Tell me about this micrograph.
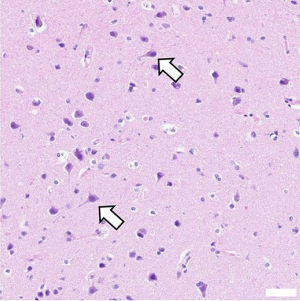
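This is cortical gray matter with scattered neuronal cells lying in a pale pink, finely fibrillar background. The neurons have angular, dark purple cell bodies, some with a tapering process. Between them lie smaller round nuclei, several surrounded by a clear halo. The cells are sparse and evenly spread, without crowding.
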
